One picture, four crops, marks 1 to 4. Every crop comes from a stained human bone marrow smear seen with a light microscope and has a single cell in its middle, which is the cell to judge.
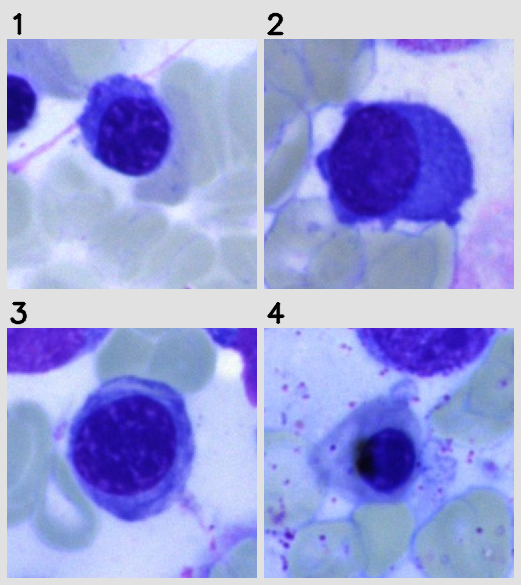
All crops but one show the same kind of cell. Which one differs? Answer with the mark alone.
2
